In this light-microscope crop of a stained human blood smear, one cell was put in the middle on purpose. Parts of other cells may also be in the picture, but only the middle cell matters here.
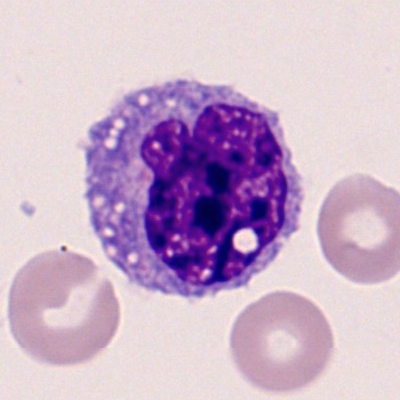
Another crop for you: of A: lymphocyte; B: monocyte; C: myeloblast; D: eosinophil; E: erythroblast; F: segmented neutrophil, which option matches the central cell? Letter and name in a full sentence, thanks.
The cell at the centre is a monocyte, and option B accordingly is correct.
